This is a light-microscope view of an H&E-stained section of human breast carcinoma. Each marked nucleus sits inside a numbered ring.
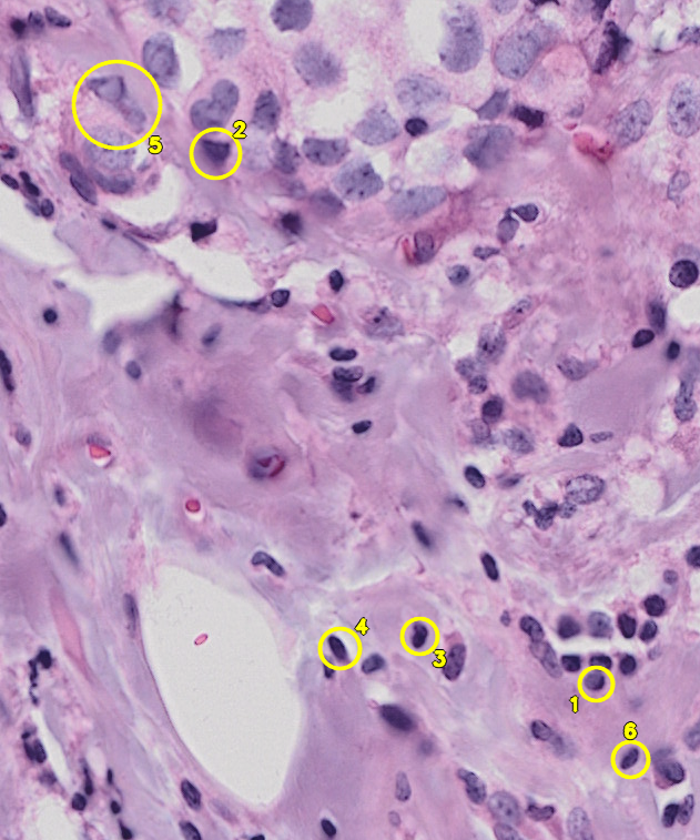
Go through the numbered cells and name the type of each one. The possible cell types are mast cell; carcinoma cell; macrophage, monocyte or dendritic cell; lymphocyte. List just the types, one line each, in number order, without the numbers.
lymphocyte
carcinoma cell
lymphocyte
lymphocyte
carcinoma cell
lymphocyte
